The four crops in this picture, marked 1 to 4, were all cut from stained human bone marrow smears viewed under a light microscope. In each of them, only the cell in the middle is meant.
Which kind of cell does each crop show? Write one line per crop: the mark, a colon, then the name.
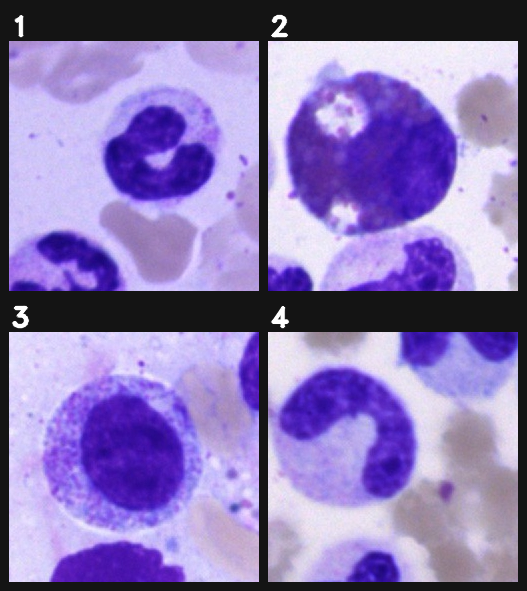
1: band neutrophil
2: eosinophil
3: myelocyte
4: band neutrophil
